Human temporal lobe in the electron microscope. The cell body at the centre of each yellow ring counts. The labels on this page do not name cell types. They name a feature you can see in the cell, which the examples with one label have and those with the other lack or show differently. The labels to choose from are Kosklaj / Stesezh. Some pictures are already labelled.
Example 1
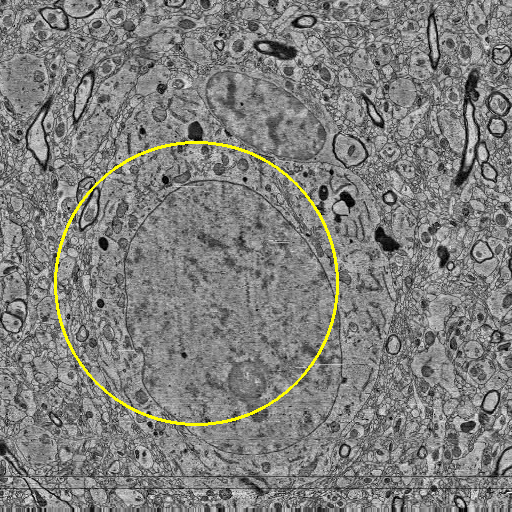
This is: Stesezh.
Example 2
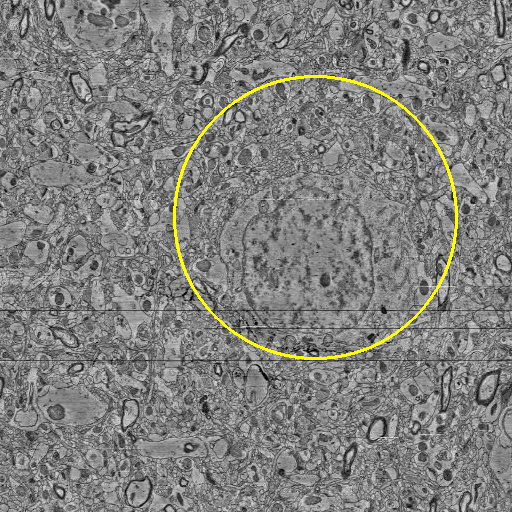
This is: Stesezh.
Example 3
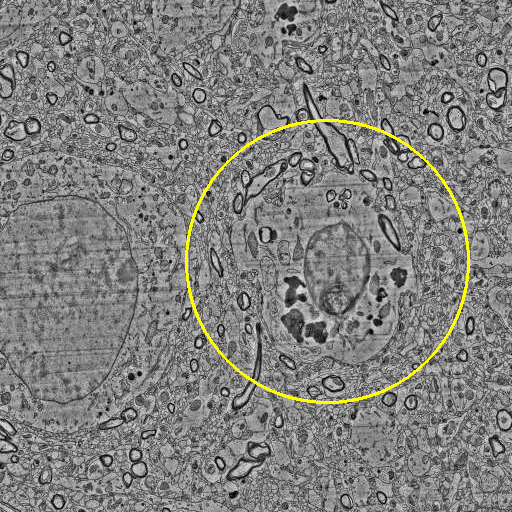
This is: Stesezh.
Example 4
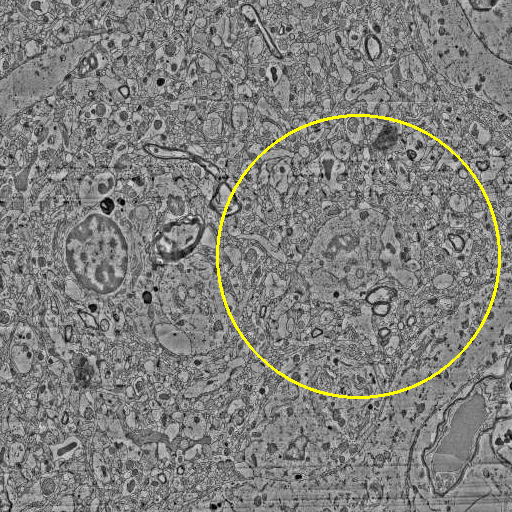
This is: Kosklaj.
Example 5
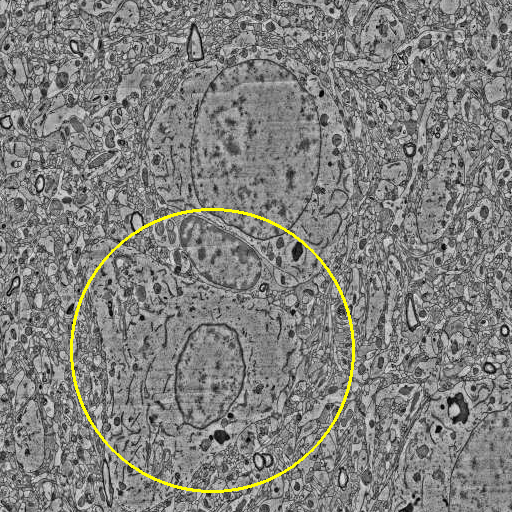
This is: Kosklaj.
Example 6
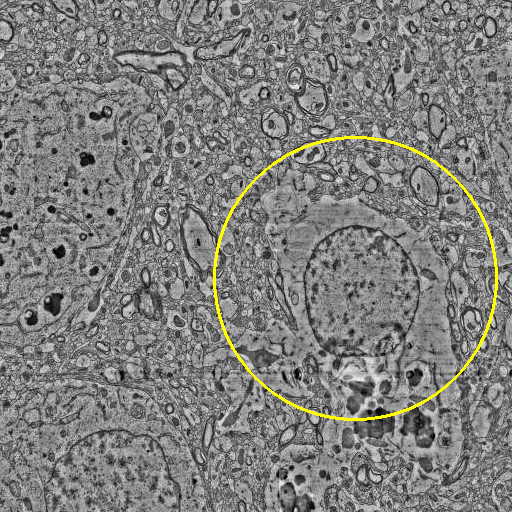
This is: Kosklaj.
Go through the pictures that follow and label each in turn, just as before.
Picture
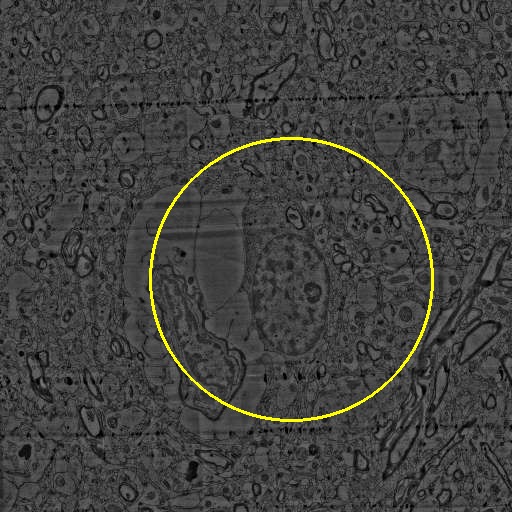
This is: Stesezh.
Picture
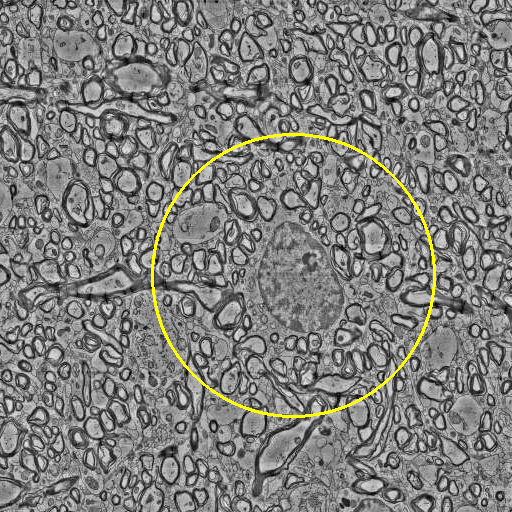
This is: Stesezh.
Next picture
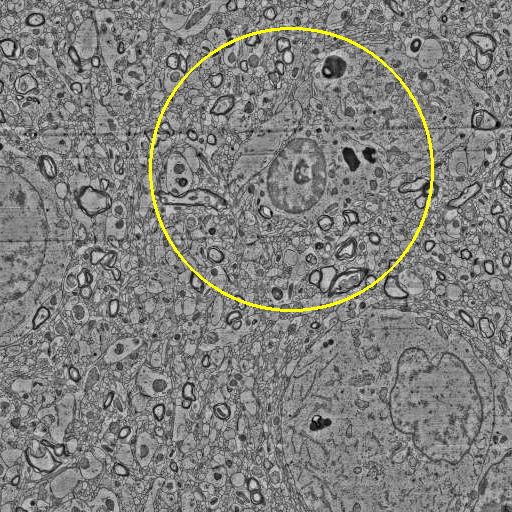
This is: Stesezh.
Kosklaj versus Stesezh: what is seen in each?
Seen in Kosklaj: no nucleolus seen; seen in Stesezh: nucleolus seen.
